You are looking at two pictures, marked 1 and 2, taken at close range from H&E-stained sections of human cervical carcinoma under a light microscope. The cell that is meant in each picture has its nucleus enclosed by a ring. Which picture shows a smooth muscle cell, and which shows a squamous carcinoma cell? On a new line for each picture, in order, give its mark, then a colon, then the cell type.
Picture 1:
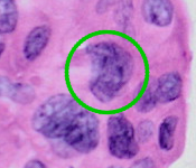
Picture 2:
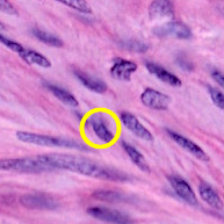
1: squamous carcinoma cell
2: smooth muscle cell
